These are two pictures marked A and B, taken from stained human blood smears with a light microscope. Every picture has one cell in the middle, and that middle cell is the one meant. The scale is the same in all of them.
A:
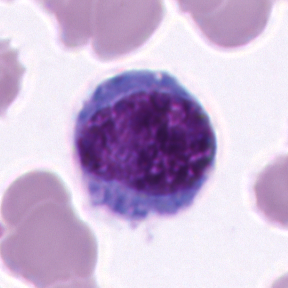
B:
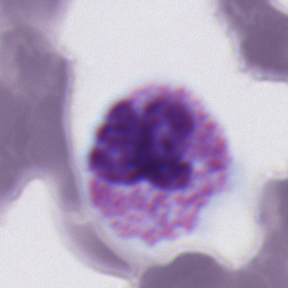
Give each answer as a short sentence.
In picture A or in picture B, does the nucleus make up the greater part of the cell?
Of the two, the nucleus in picture A makes up the greater part of its cell.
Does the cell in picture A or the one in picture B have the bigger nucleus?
The nucleus in picture A is larger, with about 1.5 times the area of the one in picture B.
